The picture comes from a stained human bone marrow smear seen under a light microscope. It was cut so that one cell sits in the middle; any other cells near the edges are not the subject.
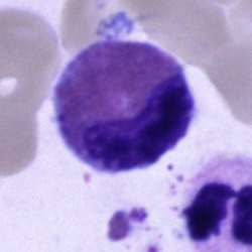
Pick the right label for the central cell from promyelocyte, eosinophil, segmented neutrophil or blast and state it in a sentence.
In the crop, the cell of interest at the centre is an eosinophil.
